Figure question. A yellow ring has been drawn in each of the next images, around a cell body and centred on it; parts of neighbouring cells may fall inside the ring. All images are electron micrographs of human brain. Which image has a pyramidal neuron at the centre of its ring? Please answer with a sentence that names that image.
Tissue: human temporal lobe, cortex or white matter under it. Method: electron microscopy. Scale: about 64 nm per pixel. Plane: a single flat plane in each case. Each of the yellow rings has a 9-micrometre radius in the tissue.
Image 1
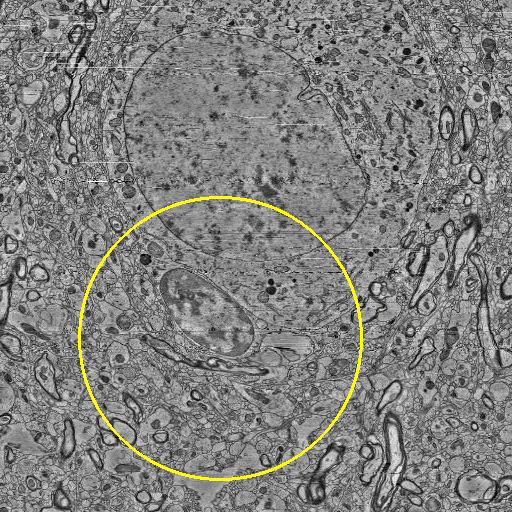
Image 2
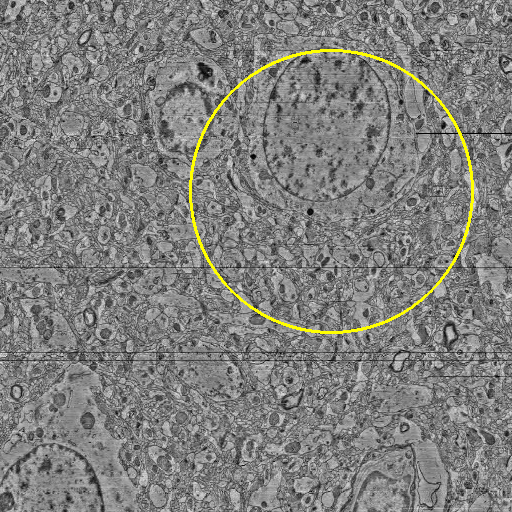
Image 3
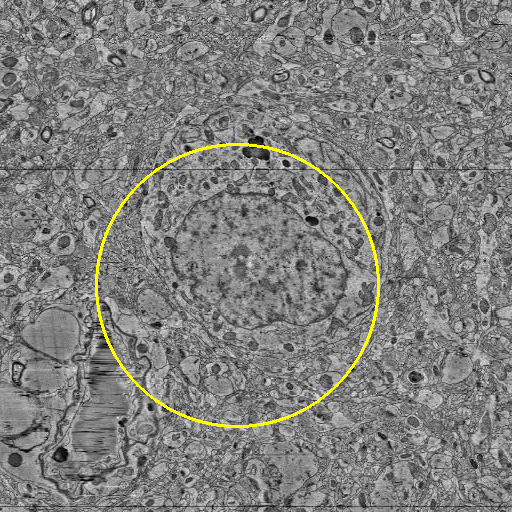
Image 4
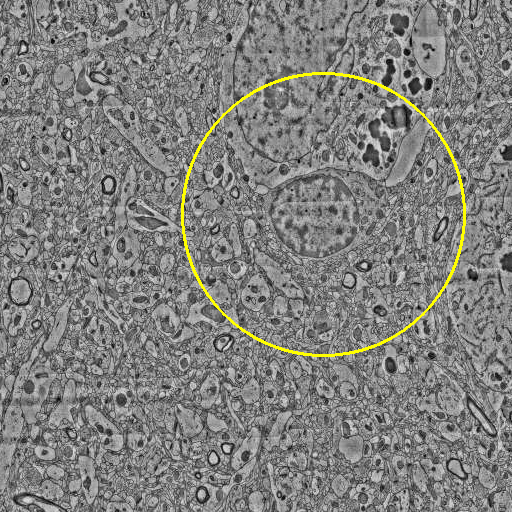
The cell at the centre of the ring in Image 2 is of that kind.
